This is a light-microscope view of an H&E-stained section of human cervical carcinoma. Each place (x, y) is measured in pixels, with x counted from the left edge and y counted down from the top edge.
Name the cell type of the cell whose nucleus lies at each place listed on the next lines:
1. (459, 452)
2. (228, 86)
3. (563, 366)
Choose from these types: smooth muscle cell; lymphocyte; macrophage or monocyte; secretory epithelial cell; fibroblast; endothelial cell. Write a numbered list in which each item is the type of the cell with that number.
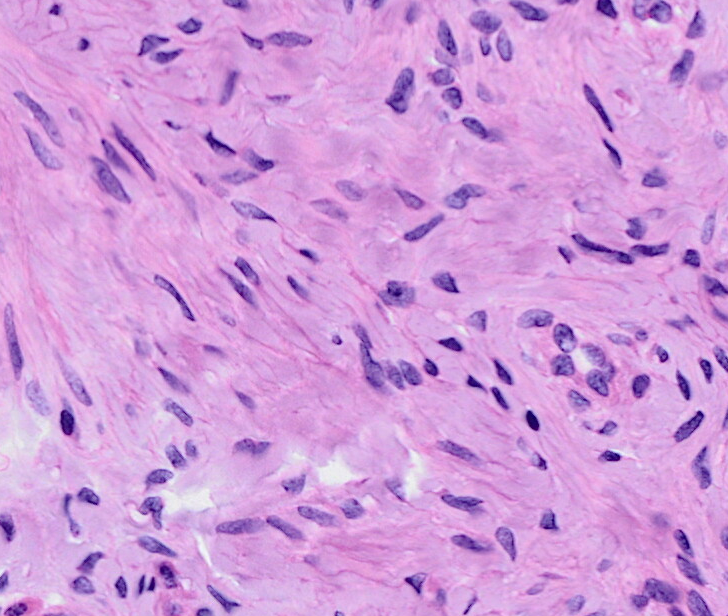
1. smooth muscle cell
2. fibroblast
3. endothelial cell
